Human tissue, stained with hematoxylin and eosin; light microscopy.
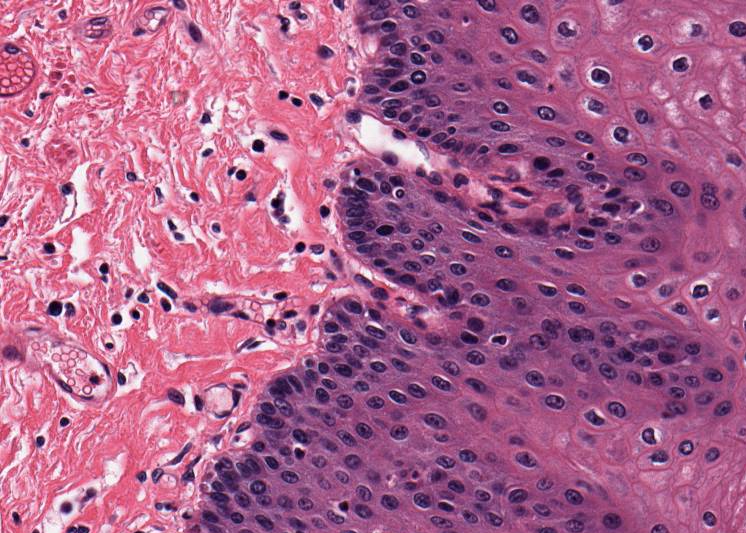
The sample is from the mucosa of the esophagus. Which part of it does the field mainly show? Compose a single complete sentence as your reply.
In this tissue section, the part on display is stratified squamous nonkeratinized epithelium.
